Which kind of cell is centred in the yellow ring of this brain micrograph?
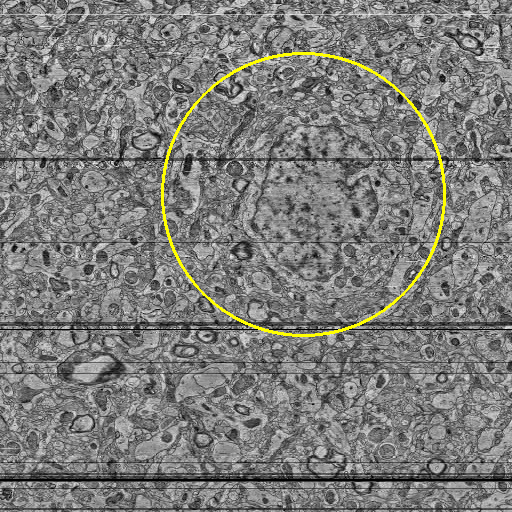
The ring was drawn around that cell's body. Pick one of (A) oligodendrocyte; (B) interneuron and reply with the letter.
B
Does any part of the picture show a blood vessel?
No, there is no blood vessel.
